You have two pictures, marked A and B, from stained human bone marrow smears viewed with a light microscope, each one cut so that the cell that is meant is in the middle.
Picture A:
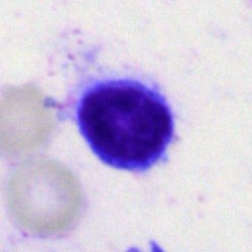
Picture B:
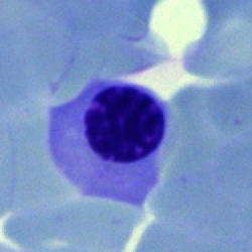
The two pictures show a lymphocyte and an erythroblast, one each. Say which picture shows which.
A: lymphocyte
B: erythroblast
